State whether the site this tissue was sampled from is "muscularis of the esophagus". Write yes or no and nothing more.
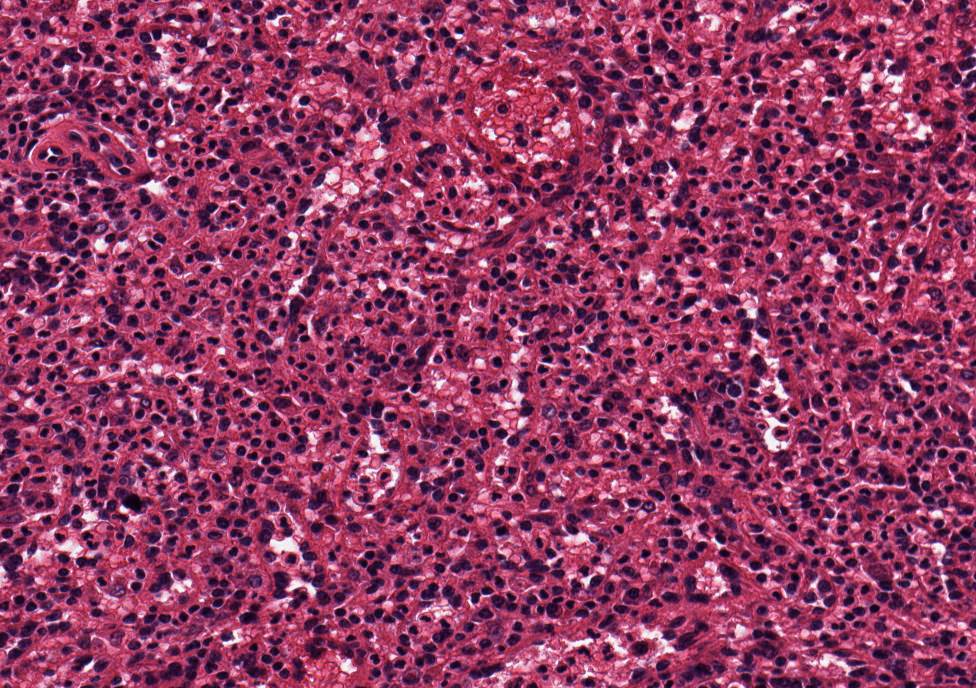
no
